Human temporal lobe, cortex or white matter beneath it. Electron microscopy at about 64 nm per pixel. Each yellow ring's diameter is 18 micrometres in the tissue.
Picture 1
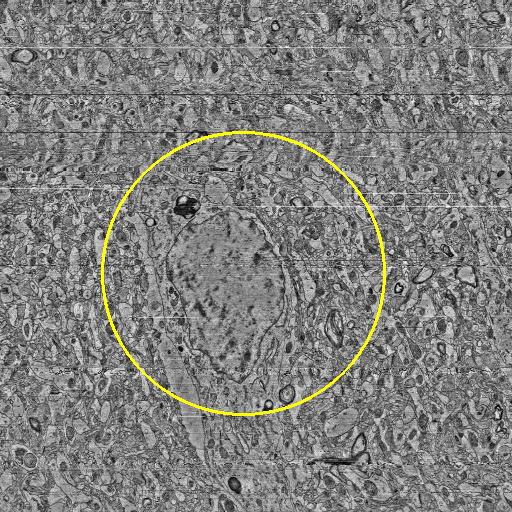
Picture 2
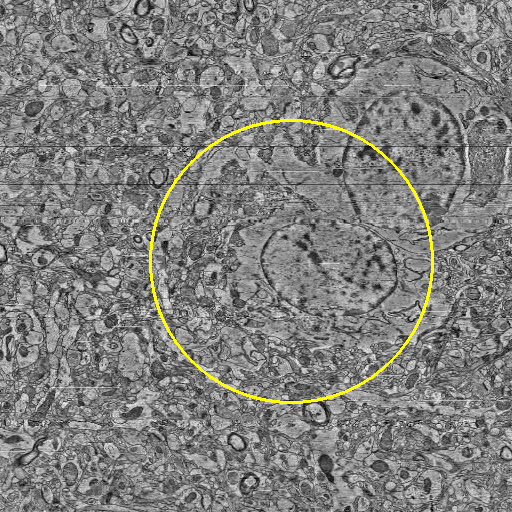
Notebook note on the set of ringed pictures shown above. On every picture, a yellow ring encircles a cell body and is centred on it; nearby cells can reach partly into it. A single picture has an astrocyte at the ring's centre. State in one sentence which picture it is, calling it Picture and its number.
Picture 2 is the one whose ring is centred on the sought cell.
